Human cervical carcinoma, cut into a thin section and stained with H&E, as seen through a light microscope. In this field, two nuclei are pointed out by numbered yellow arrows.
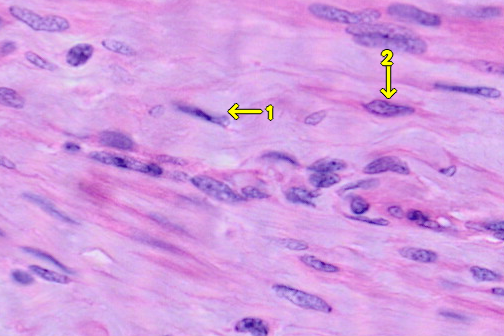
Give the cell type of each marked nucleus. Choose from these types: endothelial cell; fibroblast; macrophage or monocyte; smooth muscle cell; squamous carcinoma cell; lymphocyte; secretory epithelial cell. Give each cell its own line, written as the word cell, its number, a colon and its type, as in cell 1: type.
cell 1: fibroblast
cell 2: smooth muscle cell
